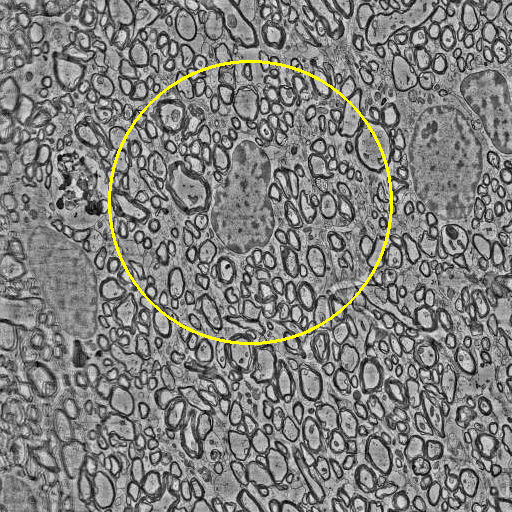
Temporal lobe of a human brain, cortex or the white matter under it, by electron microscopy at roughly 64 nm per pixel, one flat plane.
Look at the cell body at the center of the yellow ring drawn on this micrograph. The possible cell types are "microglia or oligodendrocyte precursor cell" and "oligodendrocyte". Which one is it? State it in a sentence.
The cell in the middle of the ring is a microglial cell or oligodendrocyte precursor cell.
